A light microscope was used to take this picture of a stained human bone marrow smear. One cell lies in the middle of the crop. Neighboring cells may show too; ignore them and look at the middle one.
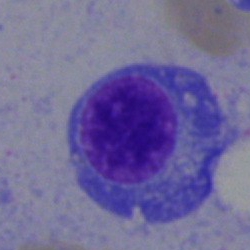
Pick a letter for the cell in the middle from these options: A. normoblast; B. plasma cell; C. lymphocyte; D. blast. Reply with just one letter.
B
